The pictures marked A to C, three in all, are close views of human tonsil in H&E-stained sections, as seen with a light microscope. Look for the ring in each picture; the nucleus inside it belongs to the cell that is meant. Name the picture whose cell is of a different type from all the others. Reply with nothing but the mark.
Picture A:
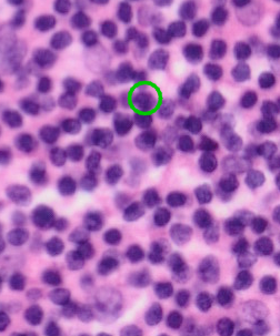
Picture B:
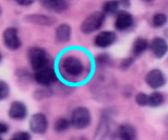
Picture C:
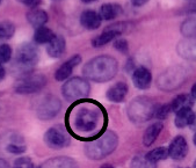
A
